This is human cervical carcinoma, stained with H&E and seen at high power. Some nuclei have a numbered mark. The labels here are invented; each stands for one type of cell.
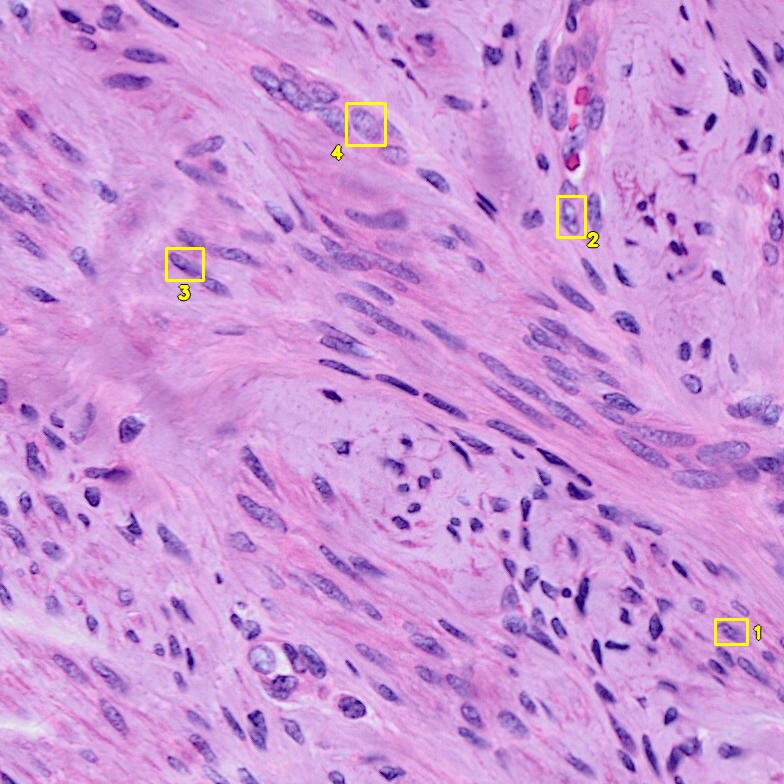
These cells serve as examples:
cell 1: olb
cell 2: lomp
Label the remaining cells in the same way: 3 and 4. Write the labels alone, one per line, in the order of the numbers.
olb
lomp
